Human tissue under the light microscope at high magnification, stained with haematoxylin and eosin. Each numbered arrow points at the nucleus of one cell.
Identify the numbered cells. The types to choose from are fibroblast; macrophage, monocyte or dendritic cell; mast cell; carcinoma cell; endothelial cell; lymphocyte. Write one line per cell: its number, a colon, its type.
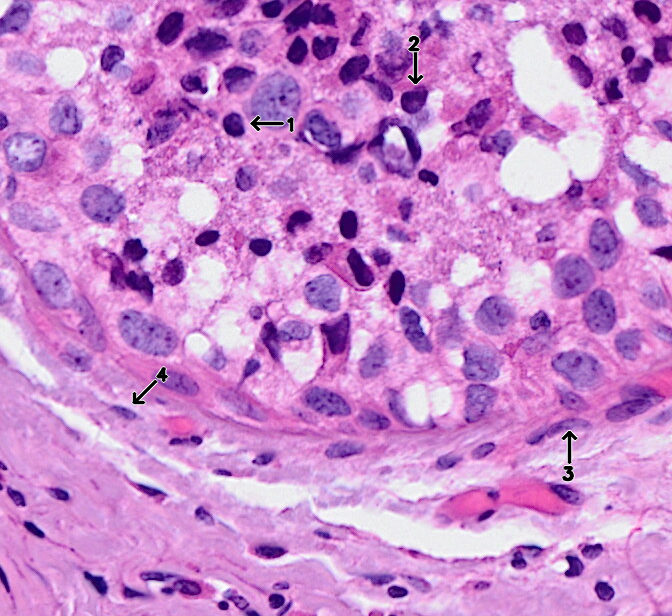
1: carcinoma cell
2: carcinoma cell
3: endothelial cell
4: fibroblast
